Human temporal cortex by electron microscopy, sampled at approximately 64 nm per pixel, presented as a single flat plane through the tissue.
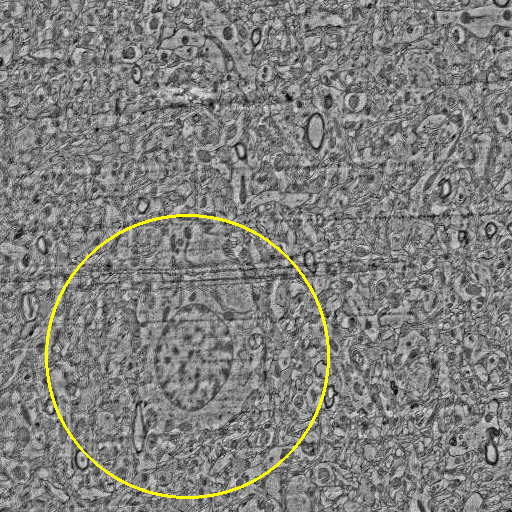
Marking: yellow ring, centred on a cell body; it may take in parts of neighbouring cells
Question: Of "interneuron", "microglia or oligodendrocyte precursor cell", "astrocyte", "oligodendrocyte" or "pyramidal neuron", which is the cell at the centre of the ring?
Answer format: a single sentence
The ring surrounds the body of an astrocyte.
